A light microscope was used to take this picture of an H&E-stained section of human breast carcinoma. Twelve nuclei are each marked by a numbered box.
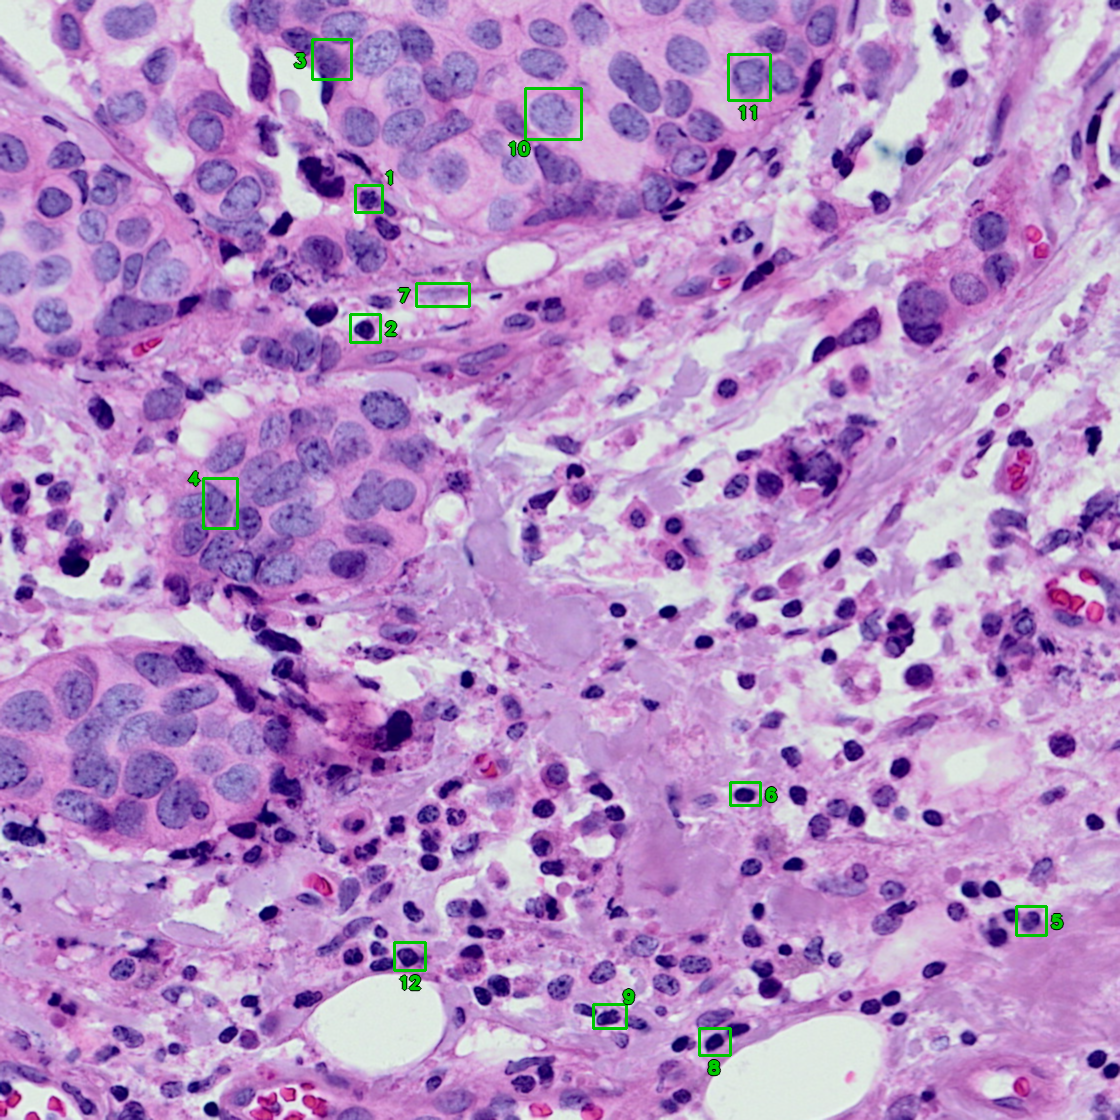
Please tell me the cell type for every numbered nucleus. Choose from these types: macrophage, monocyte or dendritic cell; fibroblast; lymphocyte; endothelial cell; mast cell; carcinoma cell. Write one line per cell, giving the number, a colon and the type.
1: lymphocyte
2: lymphocyte
3: carcinoma cell
4: carcinoma cell
5: lymphocyte
6: lymphocyte
7: fibroblast
8: lymphocyte
9: lymphocyte
10: carcinoma cell
11: carcinoma cell
12: lymphocyte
